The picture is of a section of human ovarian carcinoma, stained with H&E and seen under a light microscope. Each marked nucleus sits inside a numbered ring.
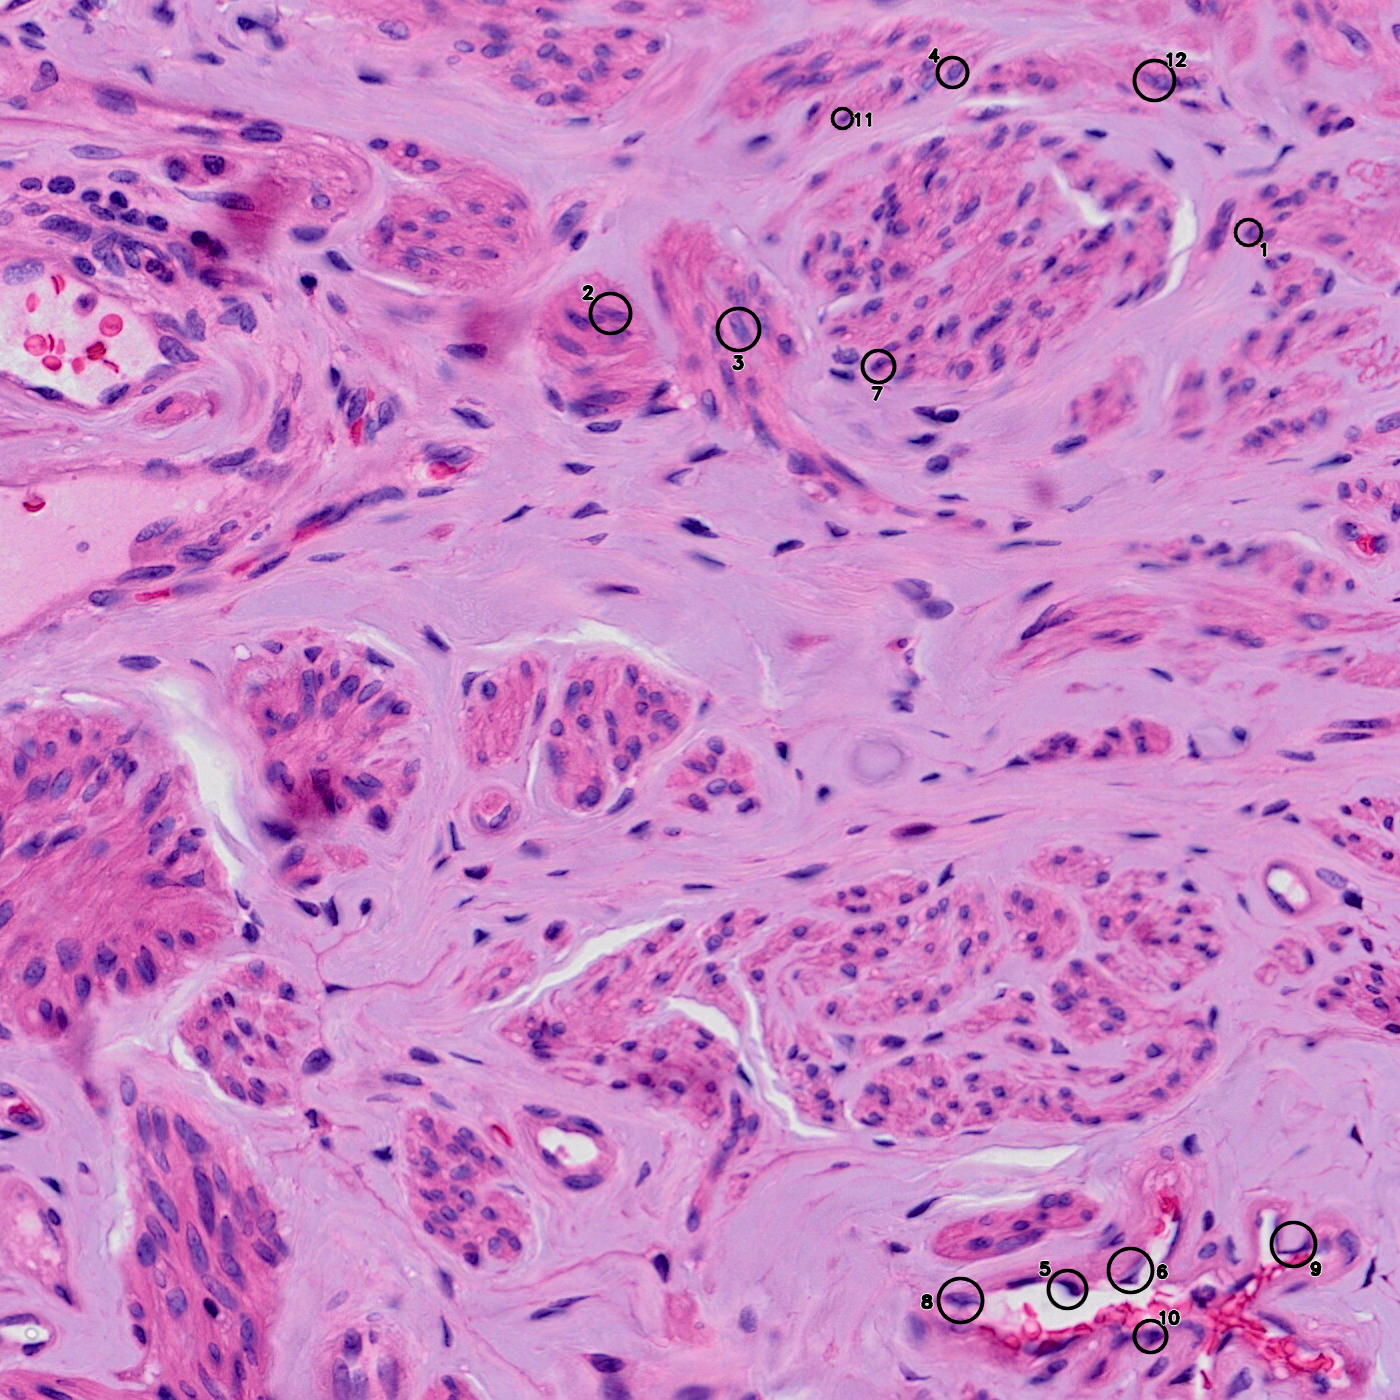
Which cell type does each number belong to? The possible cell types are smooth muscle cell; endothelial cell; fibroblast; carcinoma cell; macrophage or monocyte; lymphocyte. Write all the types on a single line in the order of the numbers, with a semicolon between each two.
smooth muscle cell; smooth muscle cell; smooth muscle cell; smooth muscle cell; endothelial cell; endothelial cell; smooth muscle cell; endothelial cell; endothelial cell; endothelial cell; smooth muscle cell; smooth muscle cell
